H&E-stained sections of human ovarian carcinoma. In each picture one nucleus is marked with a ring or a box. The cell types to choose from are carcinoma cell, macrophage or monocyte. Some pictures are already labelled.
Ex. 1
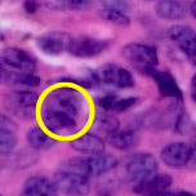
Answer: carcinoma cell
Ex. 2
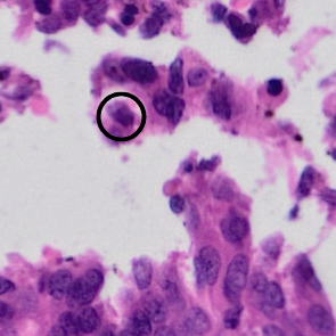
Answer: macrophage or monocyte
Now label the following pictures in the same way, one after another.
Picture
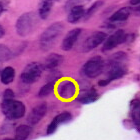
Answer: carcinoma cell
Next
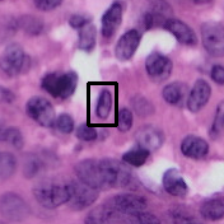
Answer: macrophage or monocyte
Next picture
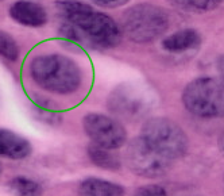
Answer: carcinoma cell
